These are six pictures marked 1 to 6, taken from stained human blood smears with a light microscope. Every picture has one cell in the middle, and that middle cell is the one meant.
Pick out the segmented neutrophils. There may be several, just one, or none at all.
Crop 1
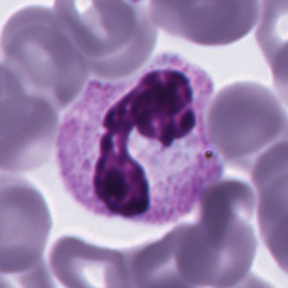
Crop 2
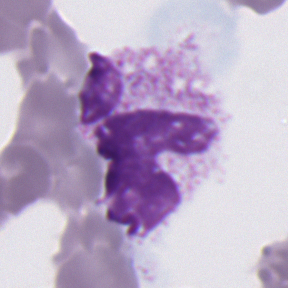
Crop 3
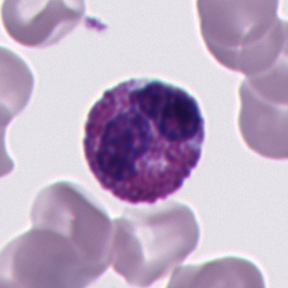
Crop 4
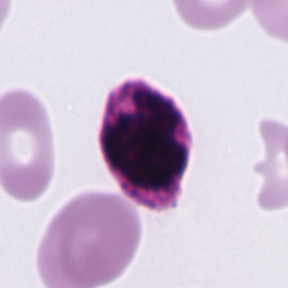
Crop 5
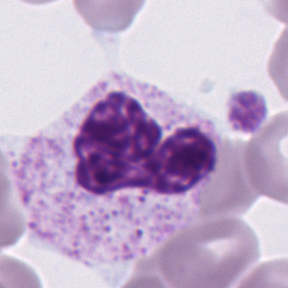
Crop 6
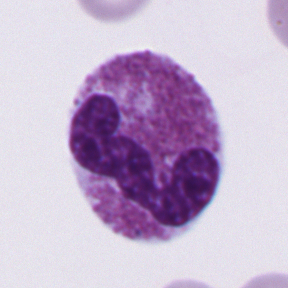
1, 2, 5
